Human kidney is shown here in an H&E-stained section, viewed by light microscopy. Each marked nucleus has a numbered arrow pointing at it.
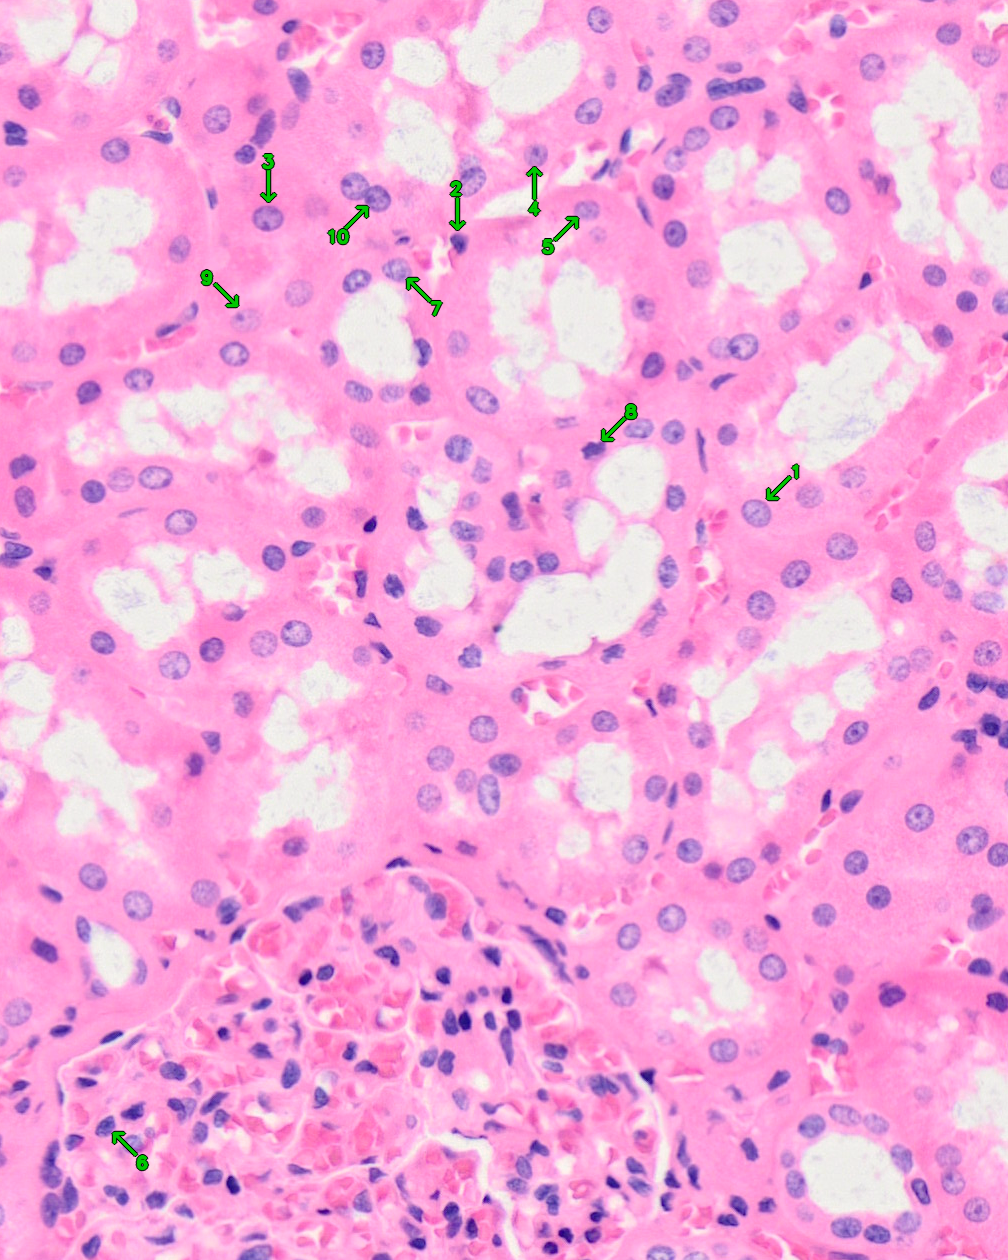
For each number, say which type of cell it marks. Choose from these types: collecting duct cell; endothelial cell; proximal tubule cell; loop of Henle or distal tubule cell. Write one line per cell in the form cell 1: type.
cell 1: proximal tubule cell
cell 2: endothelial cell
cell 3: proximal tubule cell
cell 4: proximal tubule cell
cell 5: proximal tubule cell
cell 6: endothelial cell
cell 7: loop of Henle or distal tubule cell
cell 8: loop of Henle or distal tubule cell
cell 9: proximal tubule cell
cell 10: proximal tubule cell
